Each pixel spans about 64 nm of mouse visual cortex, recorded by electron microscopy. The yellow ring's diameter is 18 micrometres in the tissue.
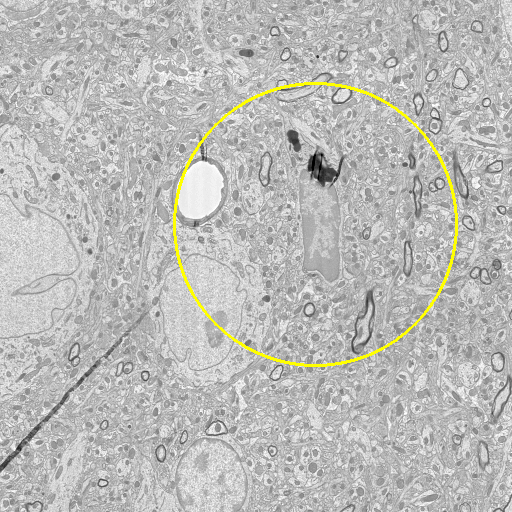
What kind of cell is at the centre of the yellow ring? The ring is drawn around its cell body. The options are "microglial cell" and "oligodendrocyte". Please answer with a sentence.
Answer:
The yellow ring marks the cell body of a microglial cell.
